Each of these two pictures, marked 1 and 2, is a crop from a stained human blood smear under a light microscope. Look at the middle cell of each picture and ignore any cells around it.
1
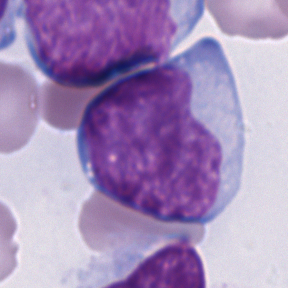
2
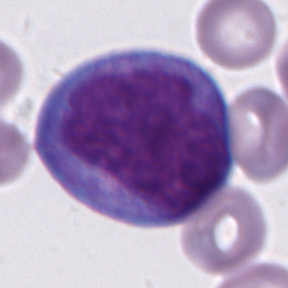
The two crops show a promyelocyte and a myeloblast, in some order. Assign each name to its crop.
1: myeloblast
2: promyelocyte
